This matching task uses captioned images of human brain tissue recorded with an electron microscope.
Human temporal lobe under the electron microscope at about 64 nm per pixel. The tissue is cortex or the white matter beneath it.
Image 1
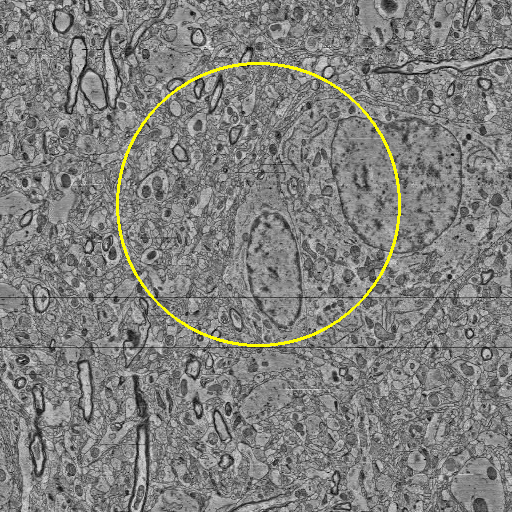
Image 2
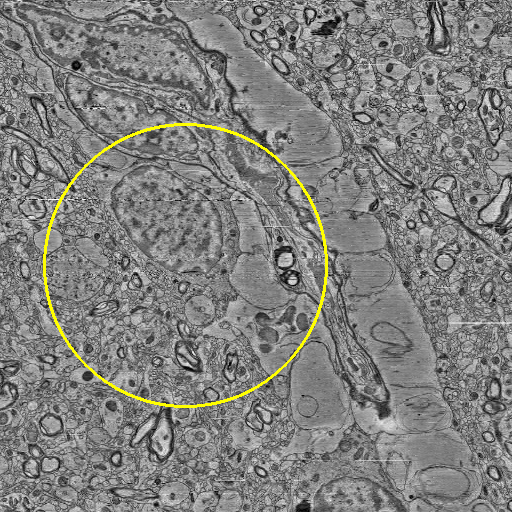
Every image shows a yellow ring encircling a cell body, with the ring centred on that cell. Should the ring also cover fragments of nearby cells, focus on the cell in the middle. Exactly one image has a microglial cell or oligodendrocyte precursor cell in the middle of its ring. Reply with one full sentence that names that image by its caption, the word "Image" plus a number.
Image 1 shows the cell in question at the centre of its yellow ring.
